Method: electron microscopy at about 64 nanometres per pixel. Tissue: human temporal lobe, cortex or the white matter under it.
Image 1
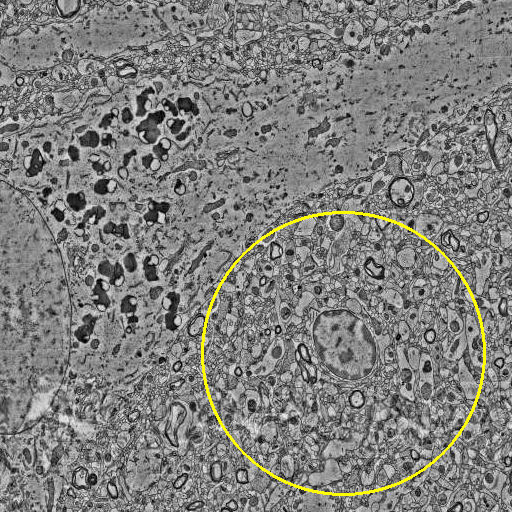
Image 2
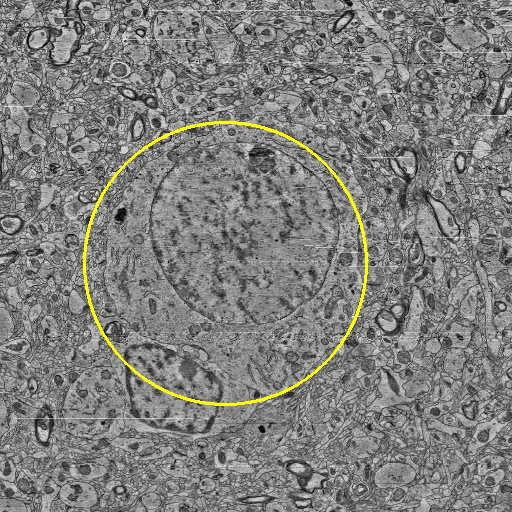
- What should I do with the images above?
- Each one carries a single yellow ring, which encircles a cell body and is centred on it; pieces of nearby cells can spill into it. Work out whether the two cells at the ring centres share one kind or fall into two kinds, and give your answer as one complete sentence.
The ring-centre cells of Image 1 and Image 2 share one kind.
